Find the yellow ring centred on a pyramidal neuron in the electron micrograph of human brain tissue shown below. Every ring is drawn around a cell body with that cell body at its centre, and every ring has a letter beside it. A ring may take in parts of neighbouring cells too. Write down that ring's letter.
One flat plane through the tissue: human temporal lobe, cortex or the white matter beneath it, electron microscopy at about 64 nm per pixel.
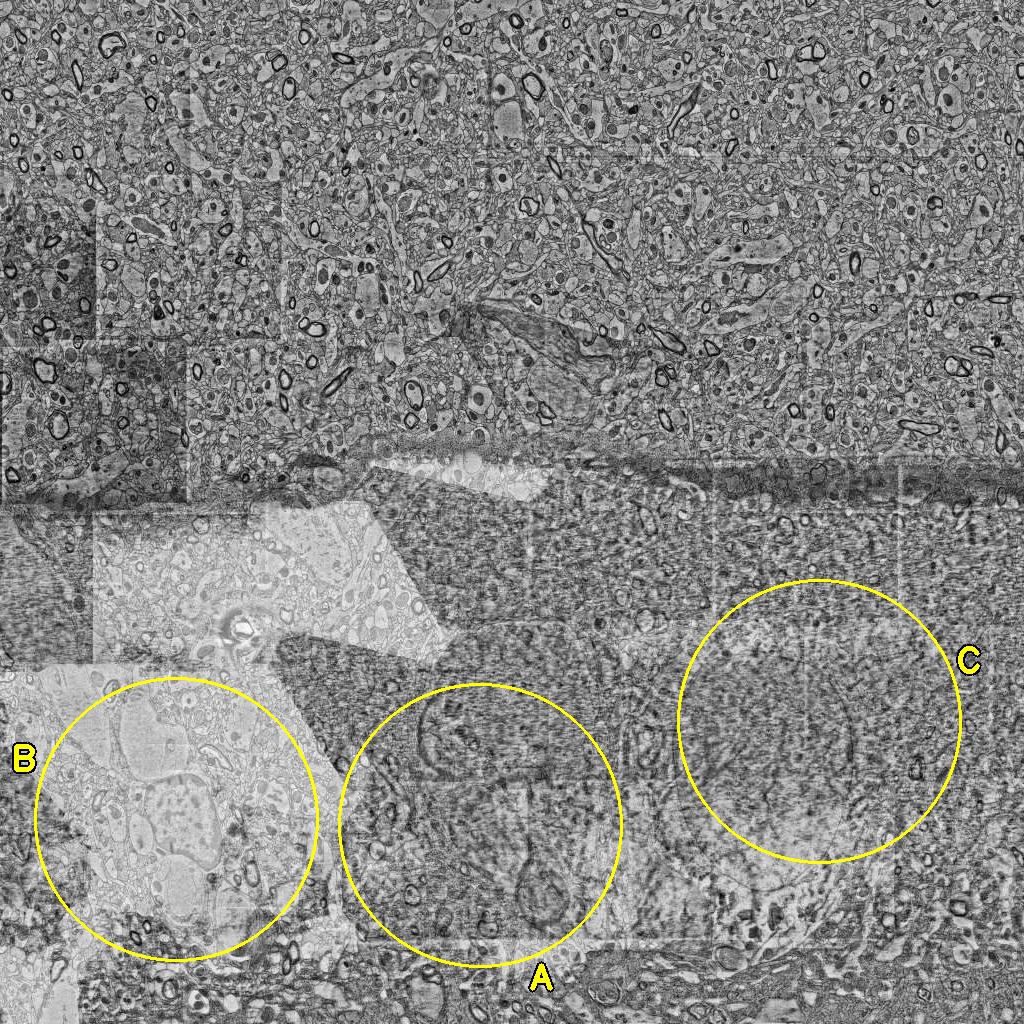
C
